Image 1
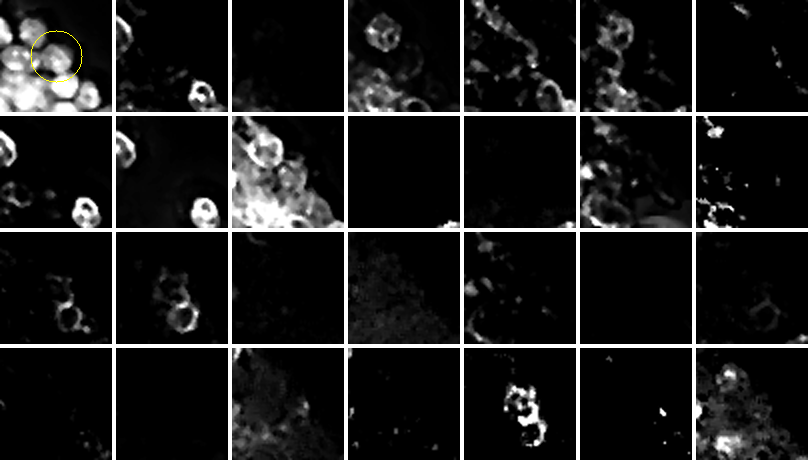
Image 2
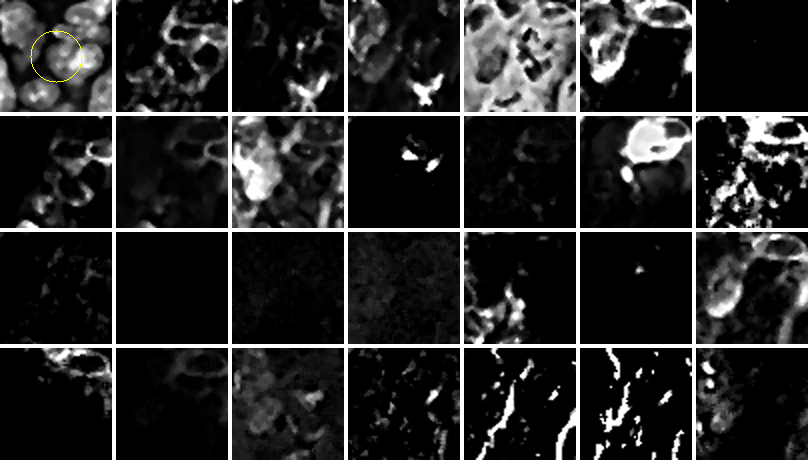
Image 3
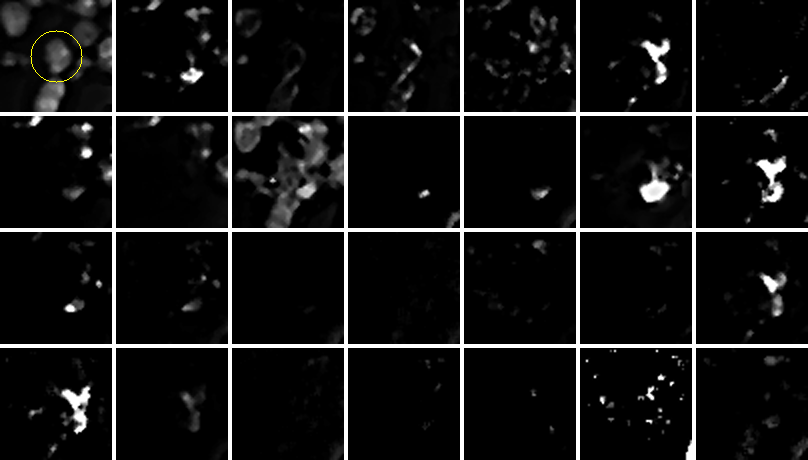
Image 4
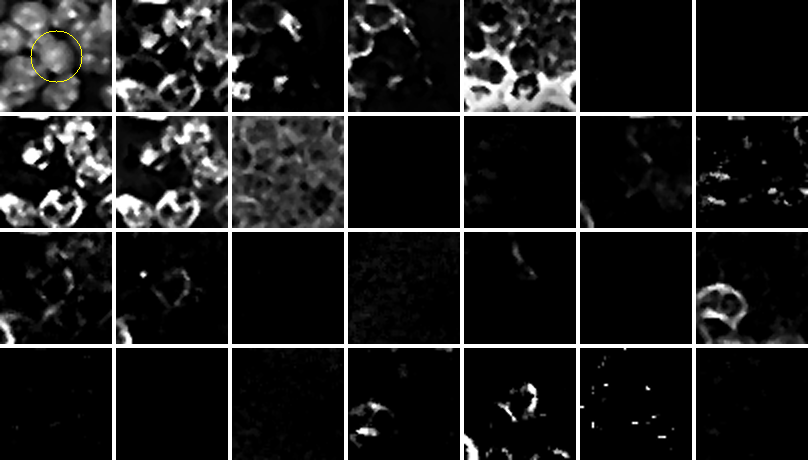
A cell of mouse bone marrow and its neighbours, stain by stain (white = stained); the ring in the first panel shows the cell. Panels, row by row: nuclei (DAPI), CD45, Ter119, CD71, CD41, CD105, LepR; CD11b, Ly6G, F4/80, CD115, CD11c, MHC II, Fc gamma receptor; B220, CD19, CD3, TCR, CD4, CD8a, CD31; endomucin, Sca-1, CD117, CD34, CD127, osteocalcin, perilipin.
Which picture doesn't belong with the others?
Picture 3.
